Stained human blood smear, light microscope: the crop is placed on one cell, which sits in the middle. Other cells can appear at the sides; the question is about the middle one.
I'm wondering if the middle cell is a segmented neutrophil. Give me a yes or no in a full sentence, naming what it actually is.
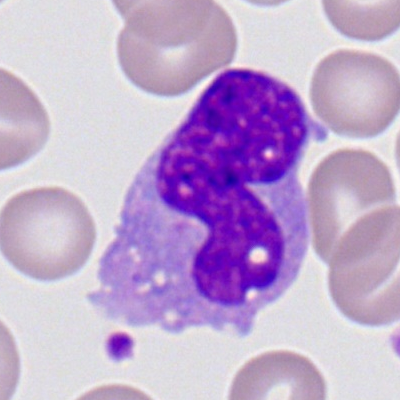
No, the central cell qualifies as a monocyte rather than as a segmented neutrophil.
